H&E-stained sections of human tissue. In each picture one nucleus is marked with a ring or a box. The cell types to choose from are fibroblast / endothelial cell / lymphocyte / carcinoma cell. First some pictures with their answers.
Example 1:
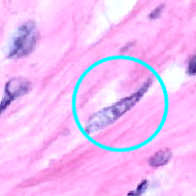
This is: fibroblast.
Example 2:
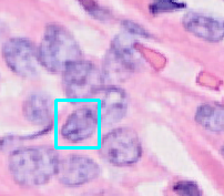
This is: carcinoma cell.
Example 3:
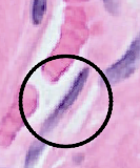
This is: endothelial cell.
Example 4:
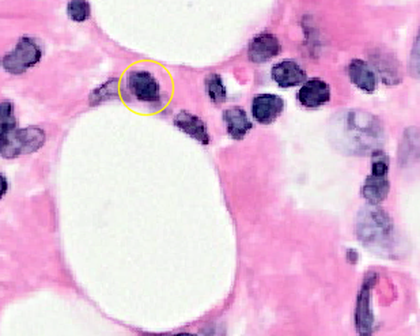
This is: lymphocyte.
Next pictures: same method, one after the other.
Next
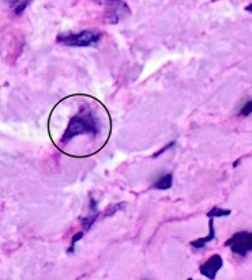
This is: fibroblast.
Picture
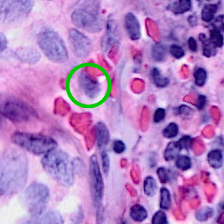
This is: endothelial cell.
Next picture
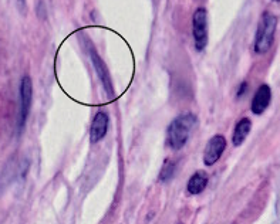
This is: fibroblast.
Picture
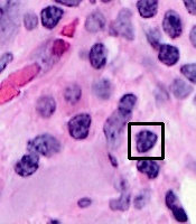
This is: lymphocyte.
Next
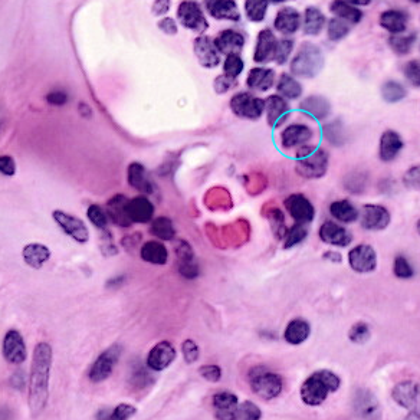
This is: lymphocyte.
